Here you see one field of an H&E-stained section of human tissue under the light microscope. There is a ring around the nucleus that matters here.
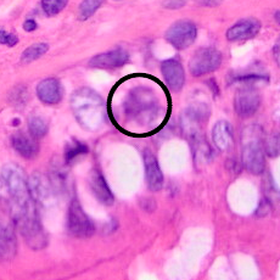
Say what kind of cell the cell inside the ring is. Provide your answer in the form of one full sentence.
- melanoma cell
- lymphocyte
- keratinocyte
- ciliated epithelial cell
To be brief about it, the cell inside the ring is a ciliated epithelial cell.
